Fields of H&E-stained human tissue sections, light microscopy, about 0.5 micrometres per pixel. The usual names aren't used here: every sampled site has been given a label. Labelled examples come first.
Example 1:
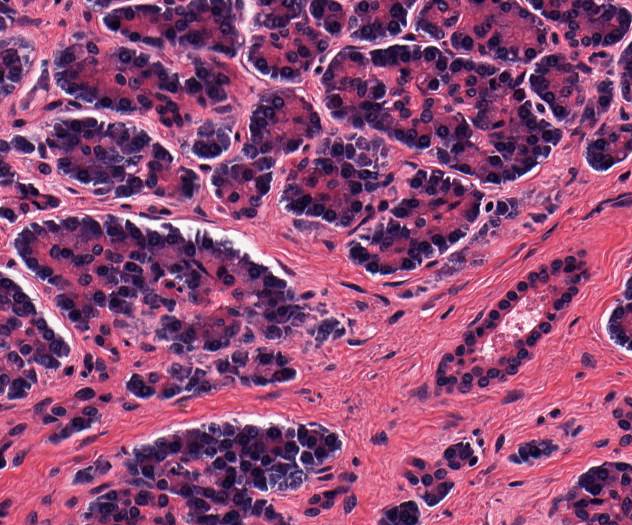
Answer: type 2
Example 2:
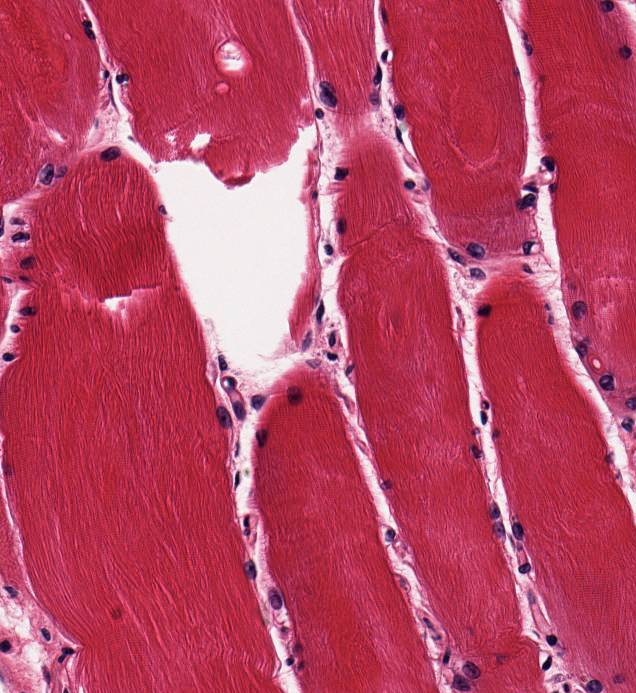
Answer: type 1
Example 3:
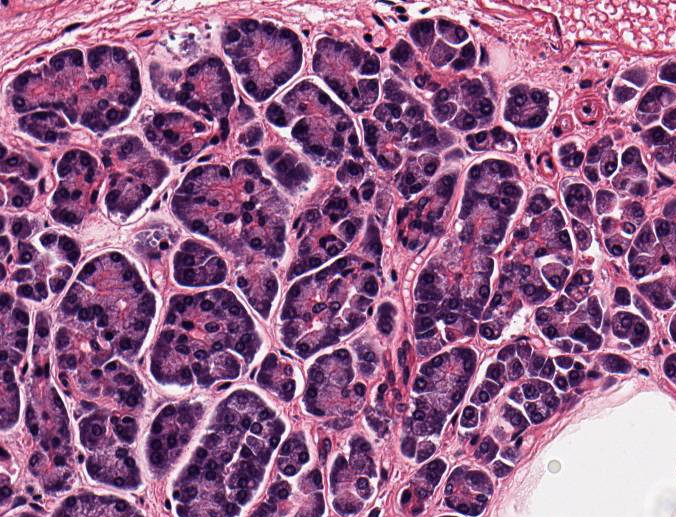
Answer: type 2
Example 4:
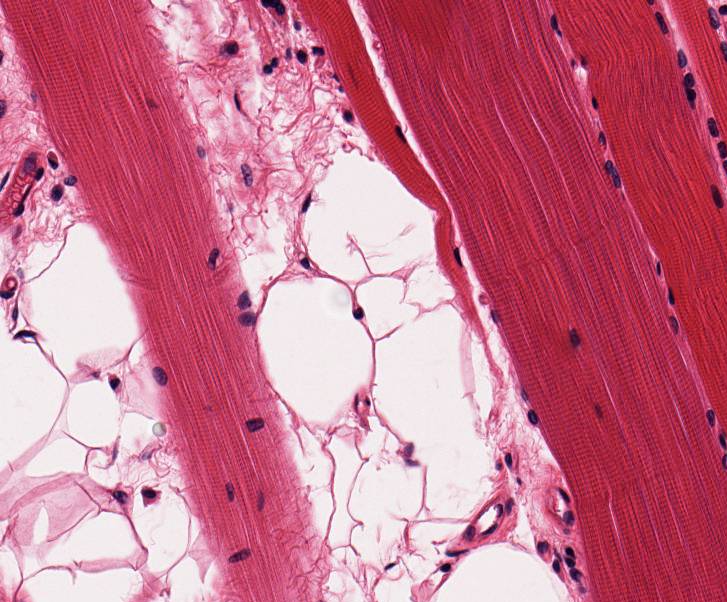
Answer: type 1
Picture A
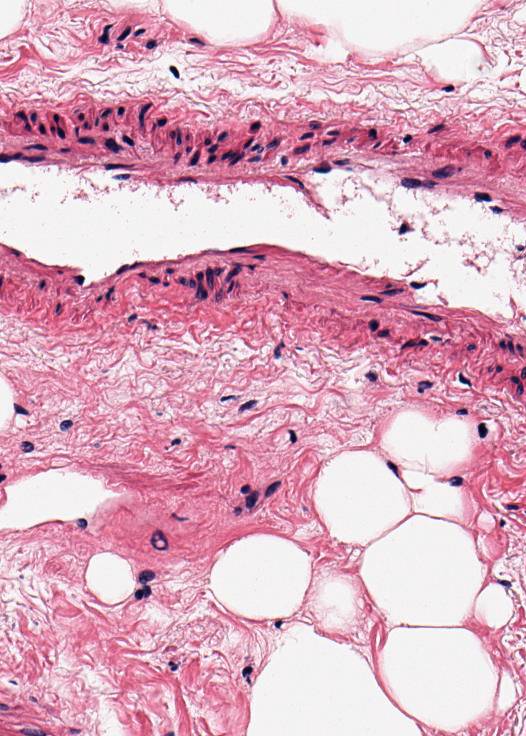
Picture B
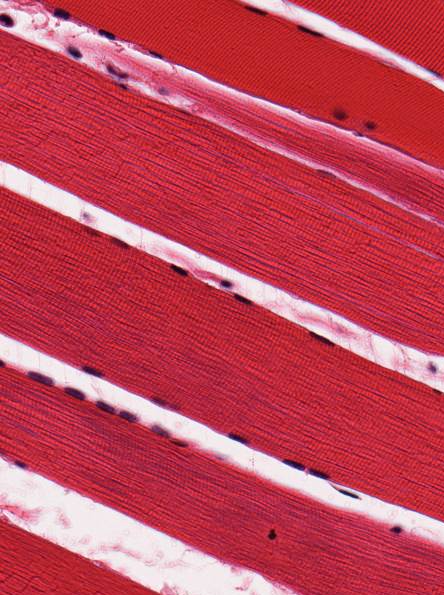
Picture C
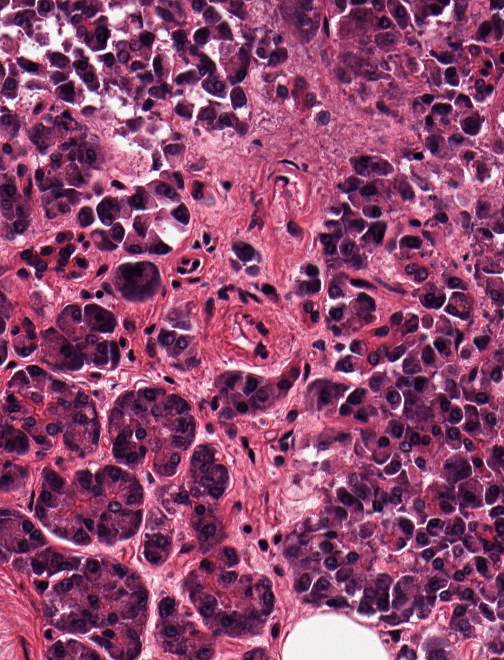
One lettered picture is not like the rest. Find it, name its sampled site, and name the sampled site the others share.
C differs and shows type 2; the others show type 1.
